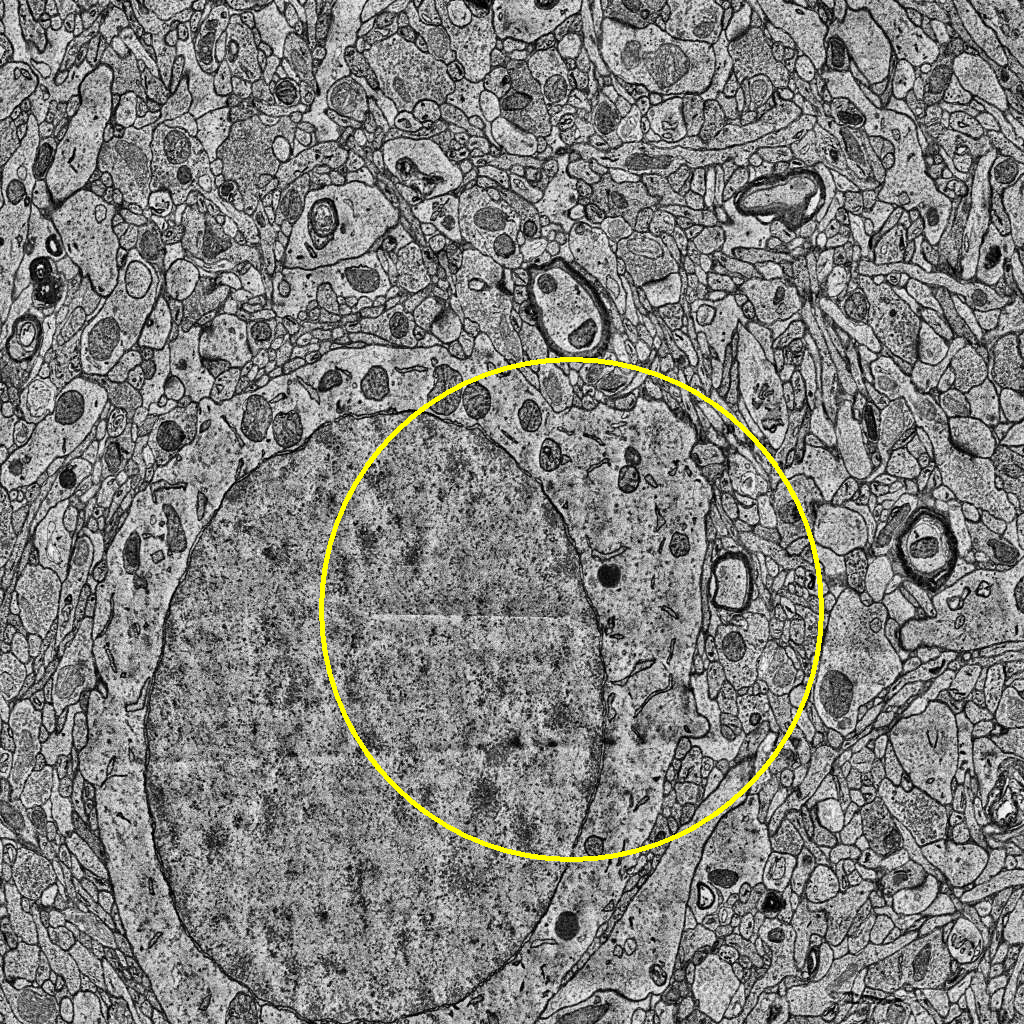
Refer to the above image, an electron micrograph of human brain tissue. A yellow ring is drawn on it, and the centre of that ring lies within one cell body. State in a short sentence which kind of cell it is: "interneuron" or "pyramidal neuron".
The centre of the ring falls on a pyramidal neuron.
